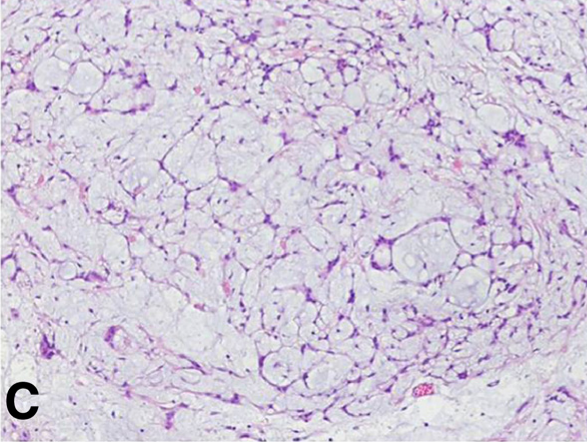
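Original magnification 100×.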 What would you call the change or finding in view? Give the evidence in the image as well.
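Many small clear rounded spaces fill most of the field. Thin strands of cells form a net around the spaces. Background is pale and loose.
Answer: microcystic and reticular growth pattern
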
